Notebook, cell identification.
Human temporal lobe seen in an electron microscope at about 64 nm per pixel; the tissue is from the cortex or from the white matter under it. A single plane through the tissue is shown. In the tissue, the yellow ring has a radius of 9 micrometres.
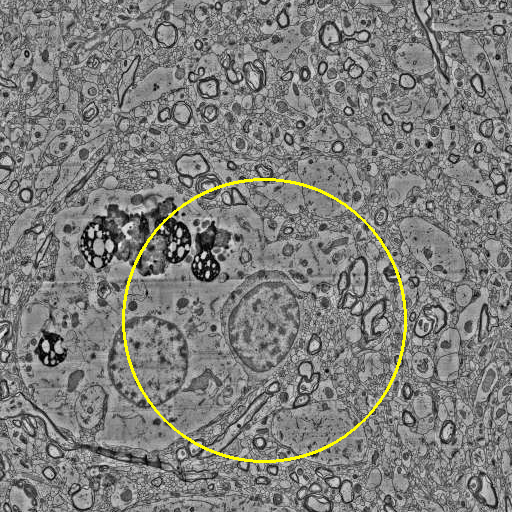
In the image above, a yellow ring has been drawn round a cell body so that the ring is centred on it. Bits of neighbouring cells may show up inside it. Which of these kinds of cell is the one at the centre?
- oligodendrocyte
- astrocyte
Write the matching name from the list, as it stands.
oligodendrocyte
